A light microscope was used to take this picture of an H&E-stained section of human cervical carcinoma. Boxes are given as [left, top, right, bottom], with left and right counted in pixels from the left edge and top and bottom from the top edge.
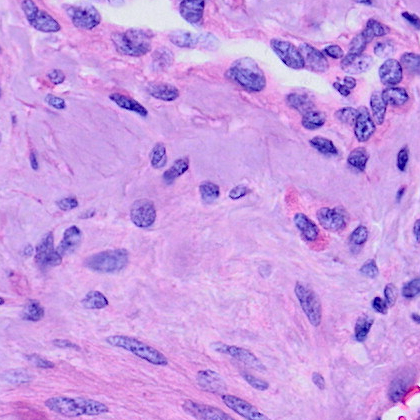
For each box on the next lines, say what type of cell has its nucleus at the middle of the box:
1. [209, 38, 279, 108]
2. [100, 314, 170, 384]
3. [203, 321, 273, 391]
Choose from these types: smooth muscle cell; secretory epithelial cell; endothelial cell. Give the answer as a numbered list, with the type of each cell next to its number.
1. endothelial cell
2. smooth muscle cell
3. smooth muscle cell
